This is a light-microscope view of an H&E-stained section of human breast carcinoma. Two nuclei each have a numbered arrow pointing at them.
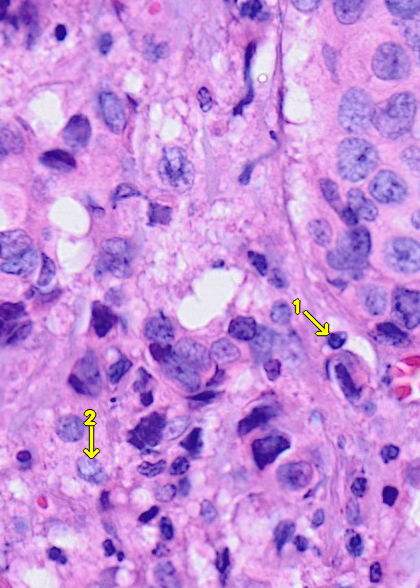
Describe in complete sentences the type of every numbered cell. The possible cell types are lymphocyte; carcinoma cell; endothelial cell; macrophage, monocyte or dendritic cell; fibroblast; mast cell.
Cell 1 is a lymphocyte. Cell 2 is a macrophage, monocyte or dendritic cell.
